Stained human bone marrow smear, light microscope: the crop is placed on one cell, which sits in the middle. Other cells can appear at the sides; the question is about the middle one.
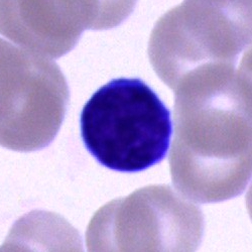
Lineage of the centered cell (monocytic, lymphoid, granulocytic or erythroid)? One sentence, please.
Lineage-wise, the cell in the center of the crop is lymphoid.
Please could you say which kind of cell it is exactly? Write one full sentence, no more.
Here the centrally located cell is a lymphocyte.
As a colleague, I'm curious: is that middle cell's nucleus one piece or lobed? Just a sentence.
Between us, the nucleus here is just one compact mass, round, oval or kidney-shaped.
